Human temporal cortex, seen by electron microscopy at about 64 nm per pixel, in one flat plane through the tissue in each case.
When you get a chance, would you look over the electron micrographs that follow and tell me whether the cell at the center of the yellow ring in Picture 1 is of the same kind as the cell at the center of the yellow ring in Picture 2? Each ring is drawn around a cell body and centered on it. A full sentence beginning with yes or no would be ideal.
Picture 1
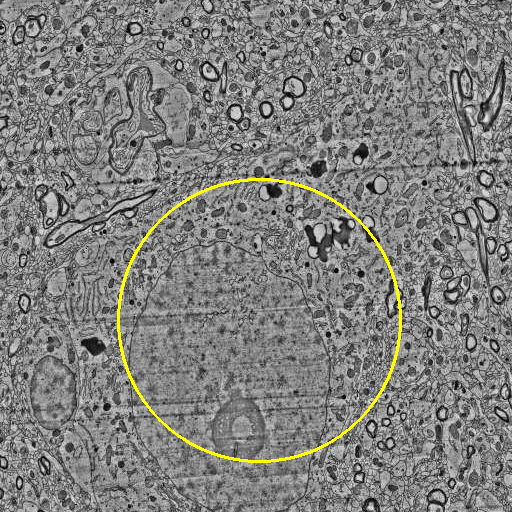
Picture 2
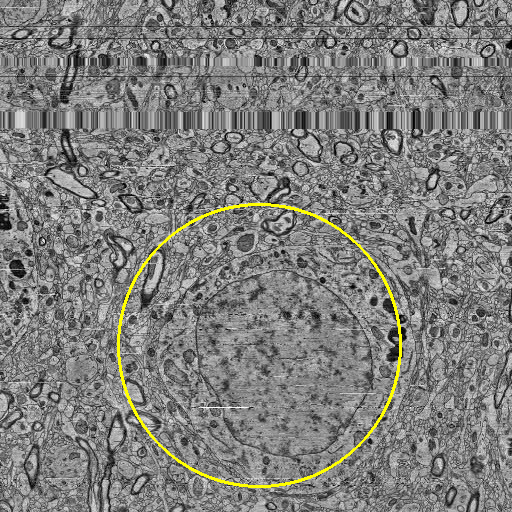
Yes, the two cells are of the same kind.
